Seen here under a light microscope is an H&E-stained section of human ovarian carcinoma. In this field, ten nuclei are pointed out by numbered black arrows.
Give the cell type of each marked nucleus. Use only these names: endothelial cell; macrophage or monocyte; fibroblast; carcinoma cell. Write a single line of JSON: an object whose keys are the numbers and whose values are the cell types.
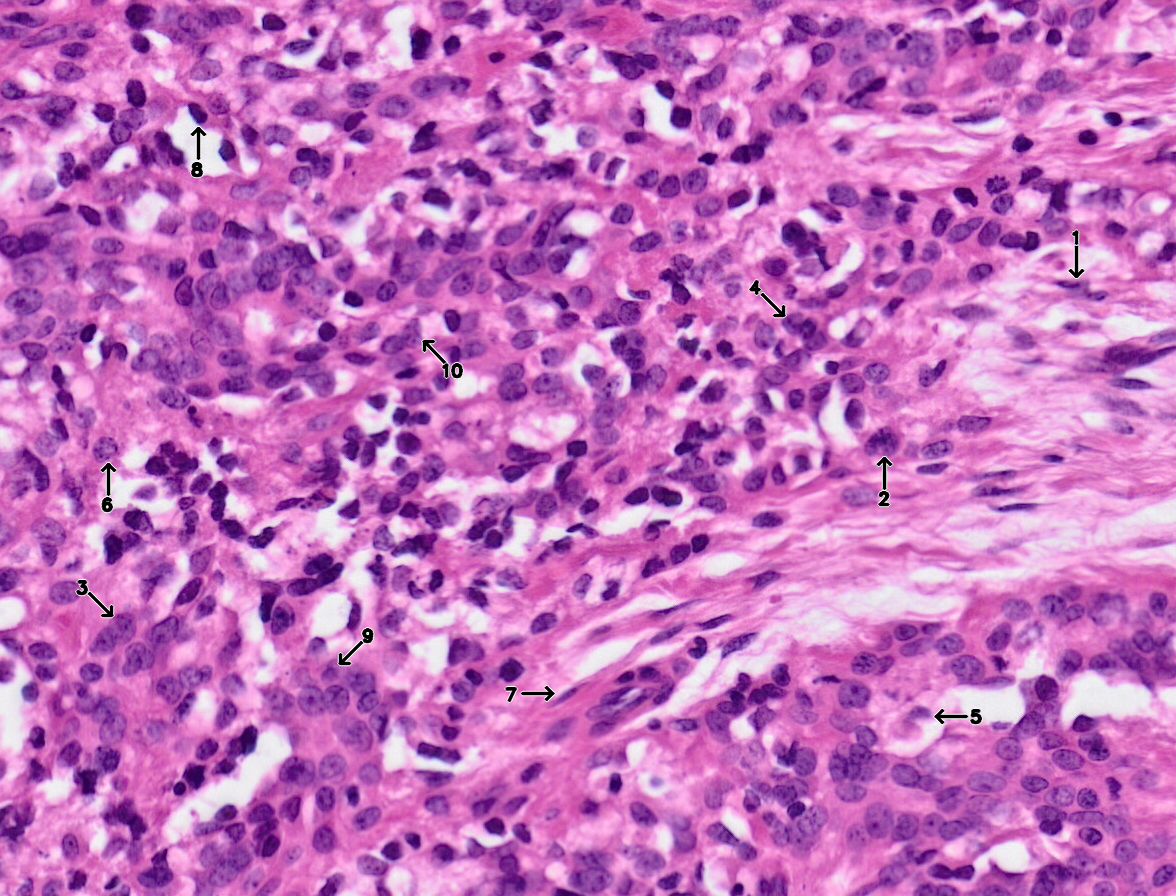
{"1": "fibroblast", "2": "carcinoma cell", "3": "carcinoma cell", "4": "carcinoma cell", "5": "macrophage or monocyte", "6": "macrophage or monocyte", "7": "fibroblast", "8": "carcinoma cell", "9": "carcinoma cell", "10": "carcinoma cell"}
